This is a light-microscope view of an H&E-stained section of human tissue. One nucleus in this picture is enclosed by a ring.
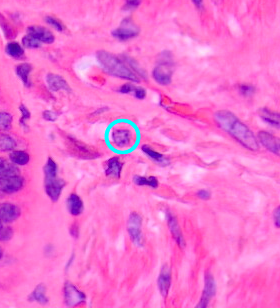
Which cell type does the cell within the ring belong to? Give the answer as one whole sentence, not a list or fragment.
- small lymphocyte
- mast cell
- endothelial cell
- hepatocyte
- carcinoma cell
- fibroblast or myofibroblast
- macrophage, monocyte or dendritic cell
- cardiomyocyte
To be brief about it, the cell within the ring is a mast cell.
